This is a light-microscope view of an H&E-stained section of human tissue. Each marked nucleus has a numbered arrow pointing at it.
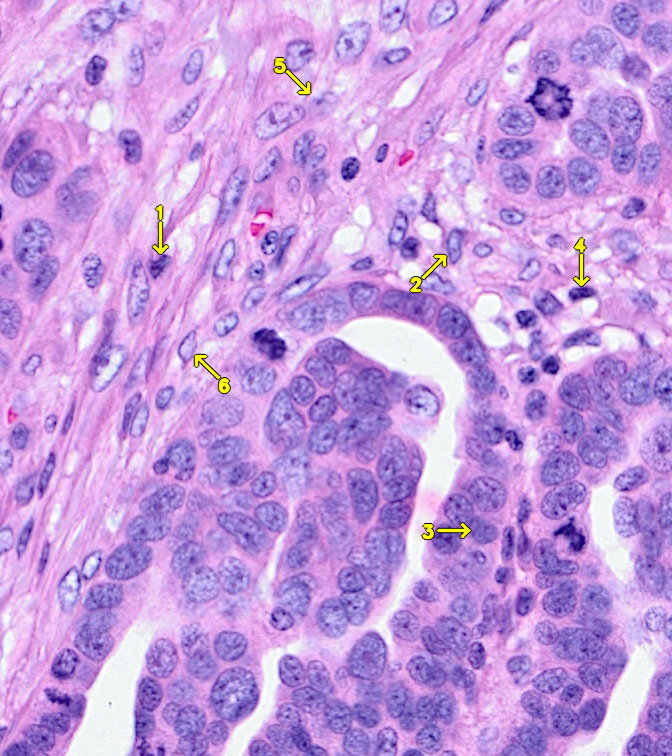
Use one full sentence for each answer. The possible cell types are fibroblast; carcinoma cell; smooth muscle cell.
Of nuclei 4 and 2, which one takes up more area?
Nucleus 2 is larger, with an area about 1.5 times that of nucleus 4.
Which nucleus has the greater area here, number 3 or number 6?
It is nucleus 3, which covers about 1.5 times the area of nucleus 6.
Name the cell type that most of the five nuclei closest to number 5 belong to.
The majority of the five nuclei closest to number 5 belong to fibroblasts.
